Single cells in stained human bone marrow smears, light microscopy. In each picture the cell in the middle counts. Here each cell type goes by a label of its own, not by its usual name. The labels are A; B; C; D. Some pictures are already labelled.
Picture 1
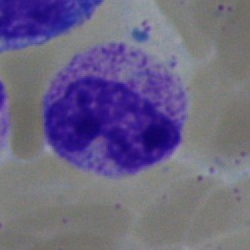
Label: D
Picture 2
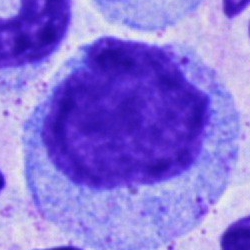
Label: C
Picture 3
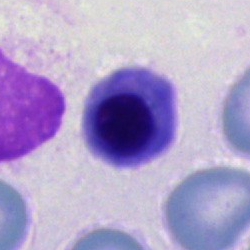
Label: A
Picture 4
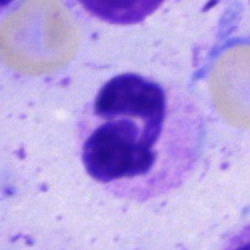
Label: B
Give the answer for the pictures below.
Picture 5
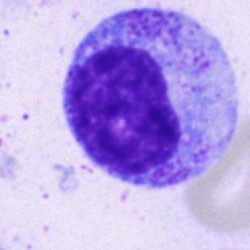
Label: C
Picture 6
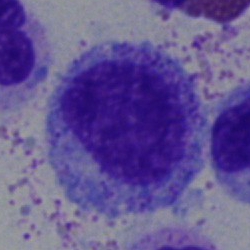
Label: C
